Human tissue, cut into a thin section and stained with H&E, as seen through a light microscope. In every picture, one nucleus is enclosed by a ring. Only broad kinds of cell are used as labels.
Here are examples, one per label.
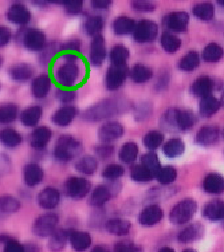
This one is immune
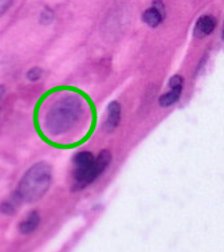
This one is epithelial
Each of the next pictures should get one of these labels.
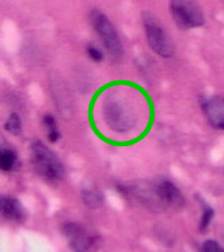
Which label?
epithelial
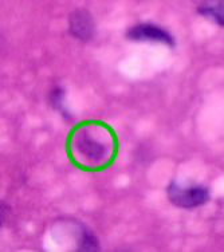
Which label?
epithelial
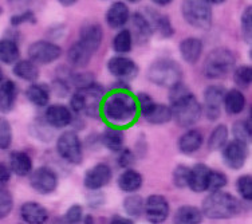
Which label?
immune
